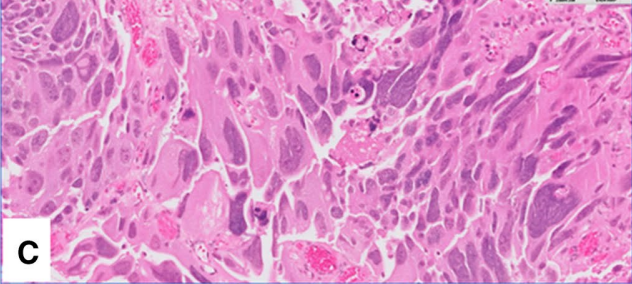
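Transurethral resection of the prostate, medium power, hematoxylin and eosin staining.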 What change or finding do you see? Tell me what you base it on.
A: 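Nuclei range from small to very large. Many nuclei are dark purple and irregular in outline. Cells have abundant pink cytoplasm. So: largely variable hyperchromatic nuclei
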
